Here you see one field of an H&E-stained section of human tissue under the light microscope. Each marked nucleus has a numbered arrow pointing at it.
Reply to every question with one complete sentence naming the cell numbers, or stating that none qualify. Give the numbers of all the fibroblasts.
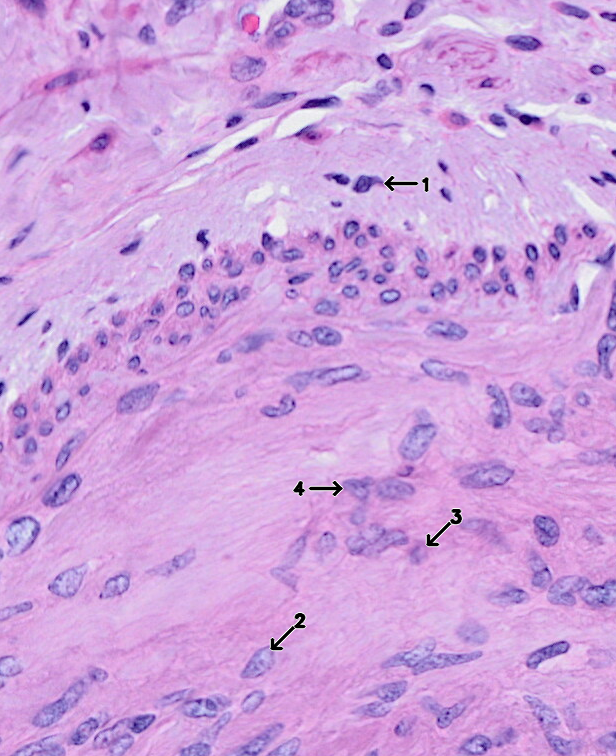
No marked cell except number 1 is a fibroblast.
